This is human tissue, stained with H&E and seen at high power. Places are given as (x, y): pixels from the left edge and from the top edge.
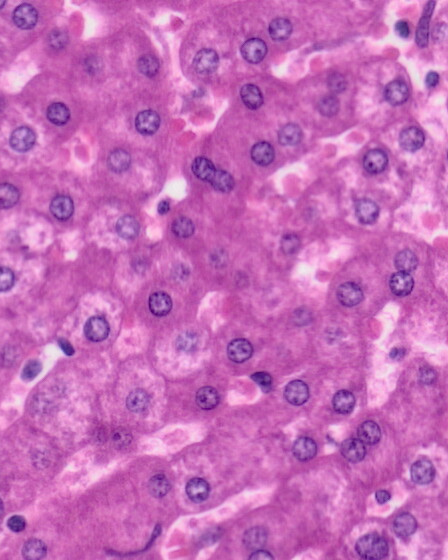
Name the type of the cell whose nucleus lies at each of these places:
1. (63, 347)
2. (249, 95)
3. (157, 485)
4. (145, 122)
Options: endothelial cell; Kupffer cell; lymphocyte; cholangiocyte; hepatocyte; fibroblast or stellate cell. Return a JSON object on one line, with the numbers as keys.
{"1": "fibroblast or stellate cell", "2": "hepatocyte", "3": "hepatocyte", "4": "hepatocyte"}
